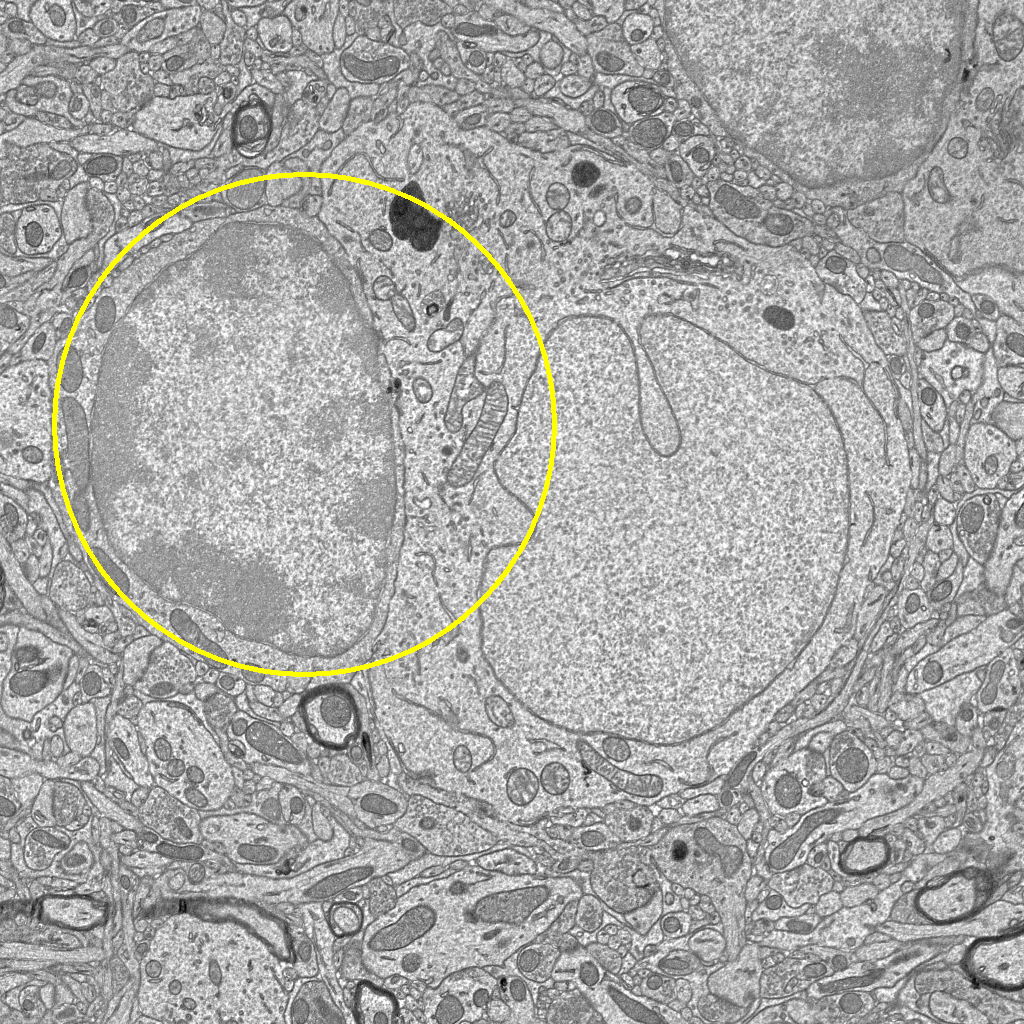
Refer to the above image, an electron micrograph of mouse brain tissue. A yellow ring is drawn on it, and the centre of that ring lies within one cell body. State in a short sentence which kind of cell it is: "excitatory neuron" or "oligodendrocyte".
The centre of the ring falls on an oligodendrocyte.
